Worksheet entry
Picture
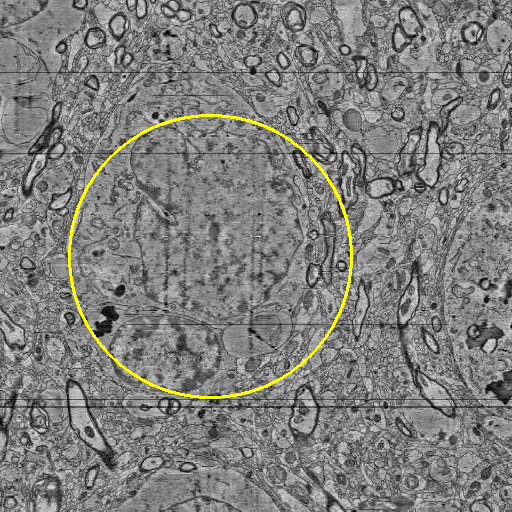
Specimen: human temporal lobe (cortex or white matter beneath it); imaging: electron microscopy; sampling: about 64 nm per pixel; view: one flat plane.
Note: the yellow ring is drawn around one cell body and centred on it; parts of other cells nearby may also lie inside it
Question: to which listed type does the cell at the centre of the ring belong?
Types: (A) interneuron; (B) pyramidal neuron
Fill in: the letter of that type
A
